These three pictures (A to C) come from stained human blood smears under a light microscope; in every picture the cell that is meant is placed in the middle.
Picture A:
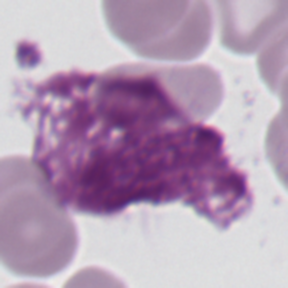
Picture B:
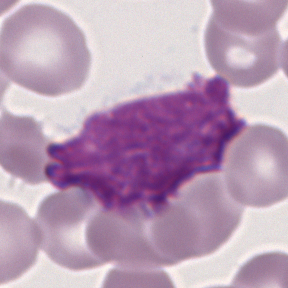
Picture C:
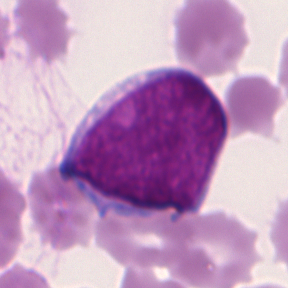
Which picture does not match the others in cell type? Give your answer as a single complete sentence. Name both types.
The others show smudge cells, but picture C shows a myeloblast.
